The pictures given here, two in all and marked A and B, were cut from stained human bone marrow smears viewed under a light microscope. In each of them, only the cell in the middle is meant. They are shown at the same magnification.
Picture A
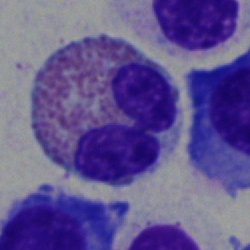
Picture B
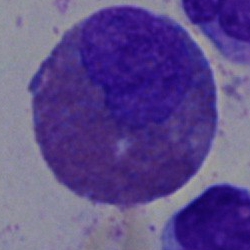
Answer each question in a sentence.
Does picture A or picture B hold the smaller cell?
The cell in picture A is smaller; the one in picture B has about 1.5 times its area.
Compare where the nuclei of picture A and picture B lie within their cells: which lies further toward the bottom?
In picture A the nucleus is shifted more toward the bottom.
